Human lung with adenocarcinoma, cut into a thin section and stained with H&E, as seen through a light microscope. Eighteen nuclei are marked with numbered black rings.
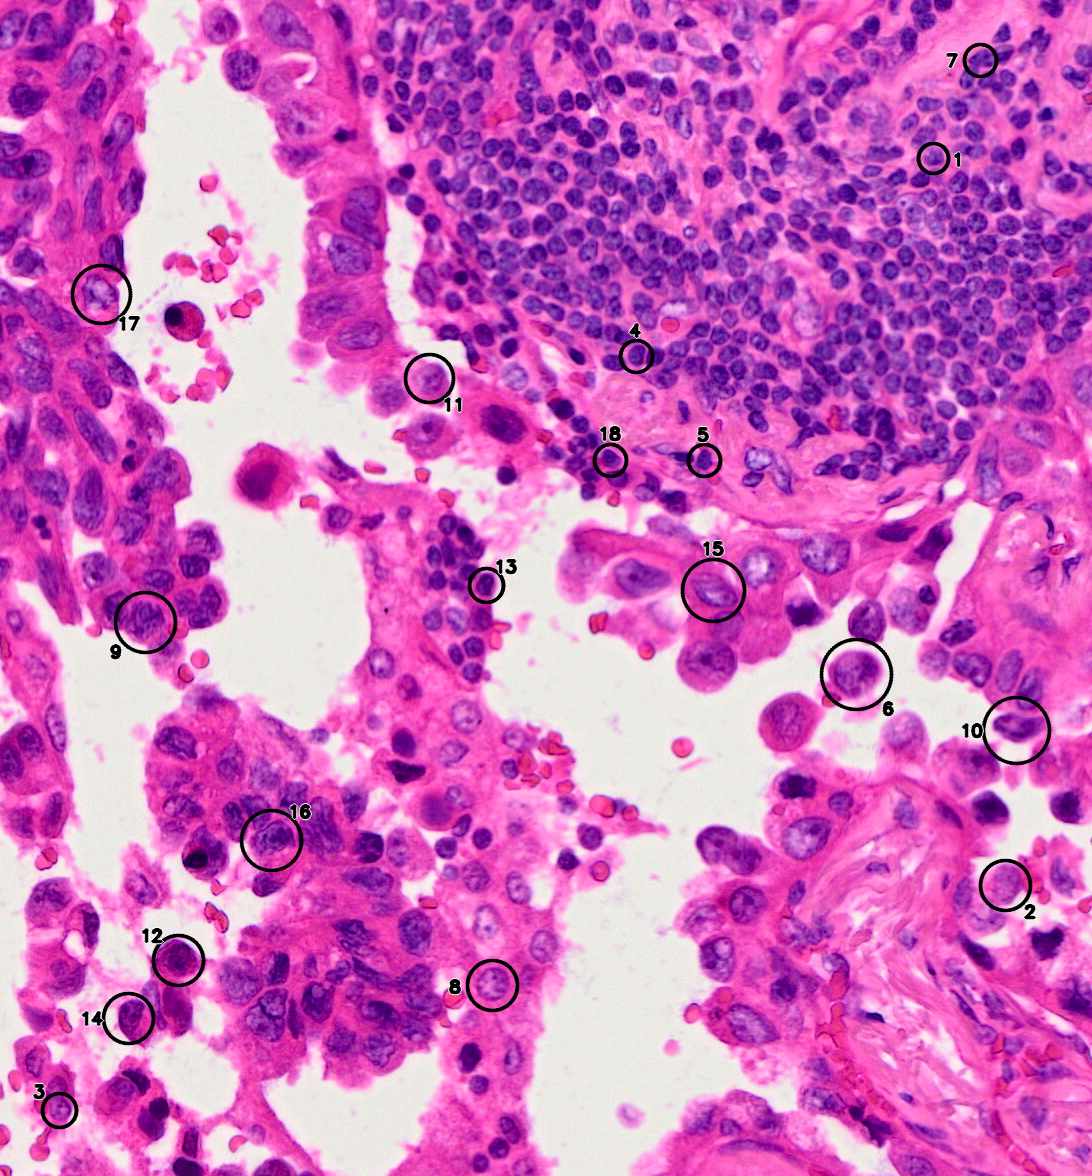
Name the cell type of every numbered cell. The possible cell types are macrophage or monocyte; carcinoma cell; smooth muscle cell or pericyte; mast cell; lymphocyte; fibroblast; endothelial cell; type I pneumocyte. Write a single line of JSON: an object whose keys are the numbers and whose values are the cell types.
{"1": "lymphocyte", "2": "carcinoma cell", "3": "macrophage or monocyte", "4": "lymphocyte", "5": "lymphocyte", "6": "carcinoma cell", "7": "lymphocyte", "8": "macrophage or monocyte", "9": "carcinoma cell", "10": "carcinoma cell", "11": "carcinoma cell", "12": "carcinoma cell", "13": "lymphocyte", "14": "carcinoma cell", "15": "carcinoma cell", "16": "carcinoma cell", "17": "carcinoma cell", "18": "lymphocyte"}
